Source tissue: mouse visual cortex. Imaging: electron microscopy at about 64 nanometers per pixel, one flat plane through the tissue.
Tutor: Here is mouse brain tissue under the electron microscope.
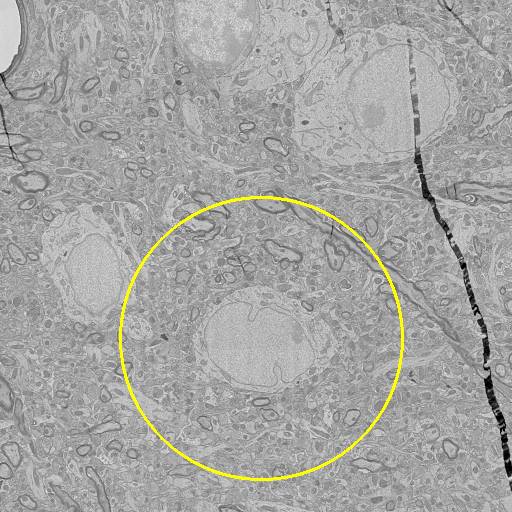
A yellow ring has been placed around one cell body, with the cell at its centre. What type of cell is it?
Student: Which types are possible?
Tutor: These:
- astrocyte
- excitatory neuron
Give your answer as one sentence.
What the ring picks out here is an excitatory neuron.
